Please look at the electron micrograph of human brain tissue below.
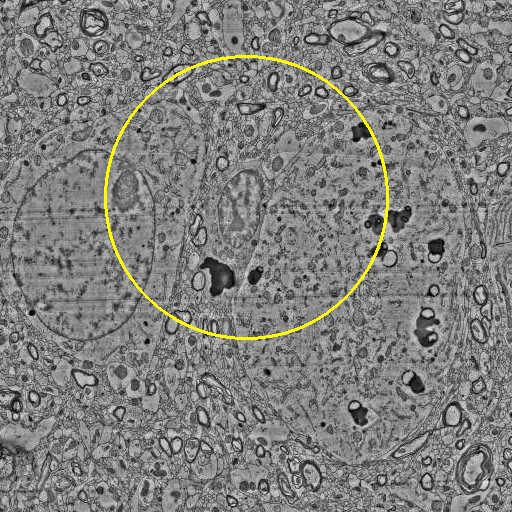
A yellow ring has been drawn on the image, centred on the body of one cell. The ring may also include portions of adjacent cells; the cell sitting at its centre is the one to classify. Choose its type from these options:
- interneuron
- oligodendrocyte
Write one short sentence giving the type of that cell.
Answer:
The cell in the middle of the ring is an oligodendrocyte.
